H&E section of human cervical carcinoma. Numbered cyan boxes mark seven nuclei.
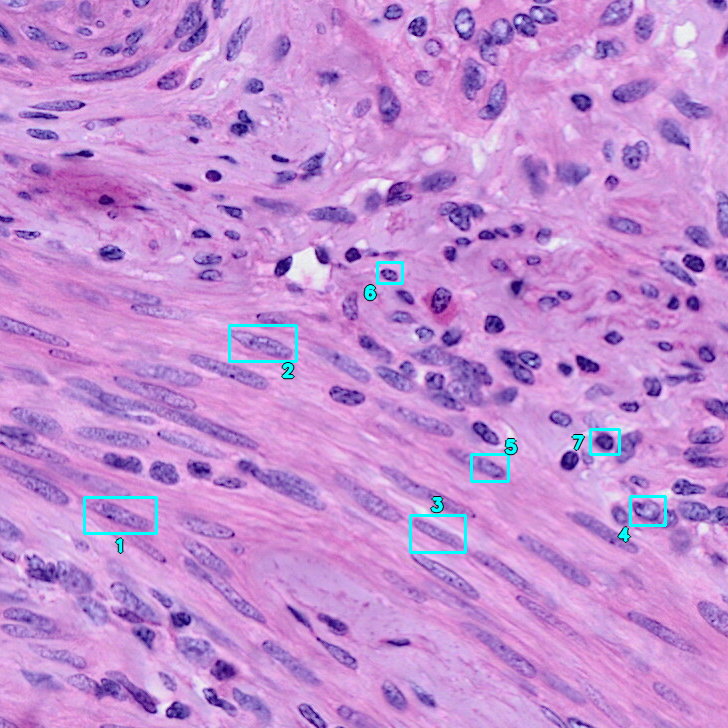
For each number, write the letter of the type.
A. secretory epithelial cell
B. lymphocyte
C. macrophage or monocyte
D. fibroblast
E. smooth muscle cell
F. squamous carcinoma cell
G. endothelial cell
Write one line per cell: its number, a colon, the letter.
1: E
2: E
3: E
4: G
5: E
6: B
7: B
